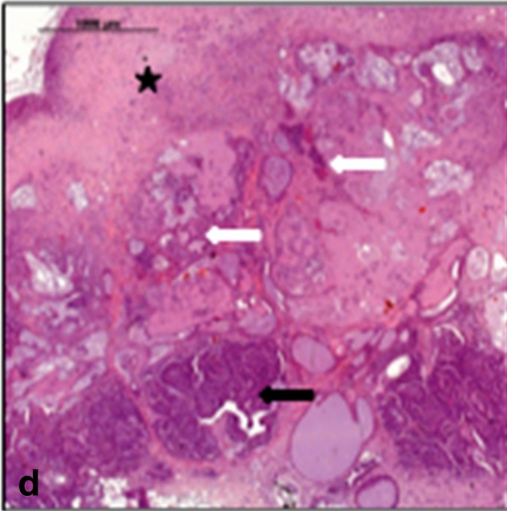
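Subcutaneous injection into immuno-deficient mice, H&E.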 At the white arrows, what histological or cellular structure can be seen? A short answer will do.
glandular endodermal structures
